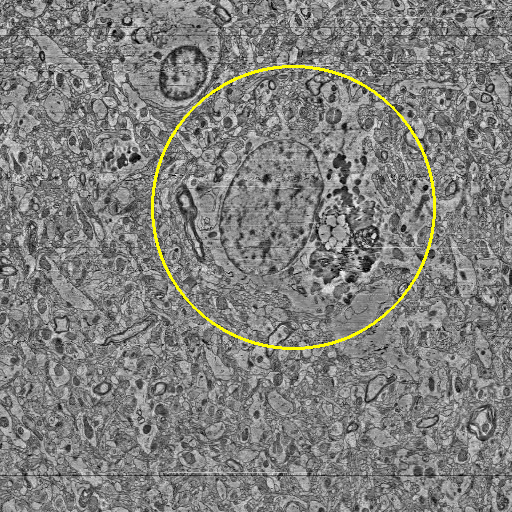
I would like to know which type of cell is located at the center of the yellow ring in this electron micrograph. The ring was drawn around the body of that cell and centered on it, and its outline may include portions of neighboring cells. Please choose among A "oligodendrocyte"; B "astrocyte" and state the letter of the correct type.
B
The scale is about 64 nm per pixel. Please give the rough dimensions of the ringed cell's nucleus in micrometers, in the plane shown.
In this plane the nucleus is about 9 micrometres by 6.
